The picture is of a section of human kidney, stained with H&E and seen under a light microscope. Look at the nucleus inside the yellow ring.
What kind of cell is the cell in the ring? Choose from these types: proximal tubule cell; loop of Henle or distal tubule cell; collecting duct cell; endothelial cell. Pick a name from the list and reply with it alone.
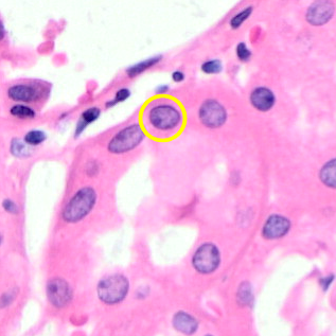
proximal tubule cell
